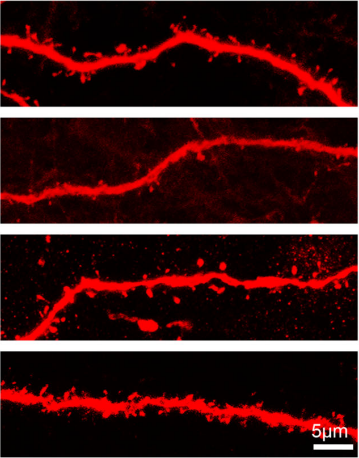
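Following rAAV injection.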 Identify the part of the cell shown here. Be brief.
dendrite spines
